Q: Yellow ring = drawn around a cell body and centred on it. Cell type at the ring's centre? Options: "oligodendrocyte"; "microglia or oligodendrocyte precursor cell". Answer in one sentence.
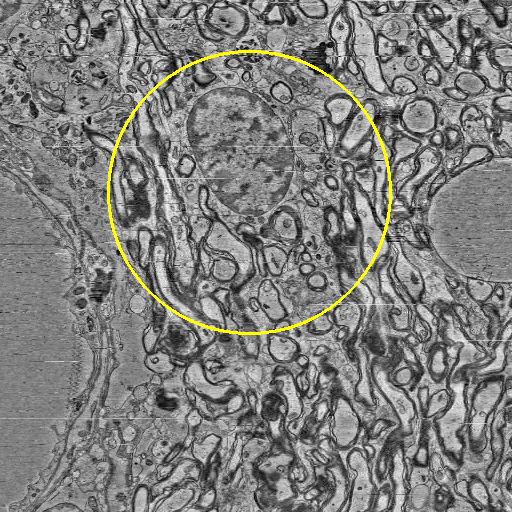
Centred in the ring is a microglial cell or oligodendrocyte precursor cell.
